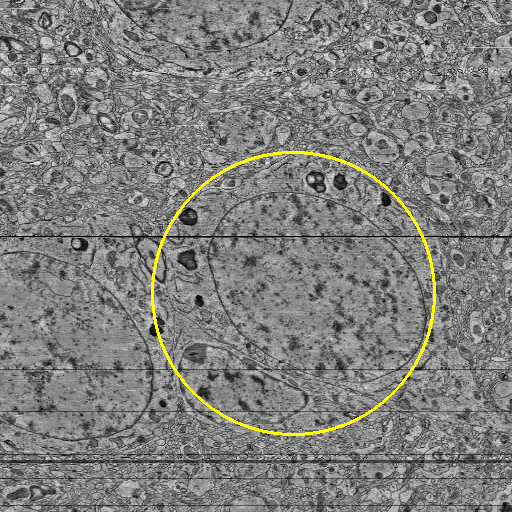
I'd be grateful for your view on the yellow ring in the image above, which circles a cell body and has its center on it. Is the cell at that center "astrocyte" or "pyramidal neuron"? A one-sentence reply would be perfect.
The cell at the center of the yellow ring is a pyramidal neuron.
